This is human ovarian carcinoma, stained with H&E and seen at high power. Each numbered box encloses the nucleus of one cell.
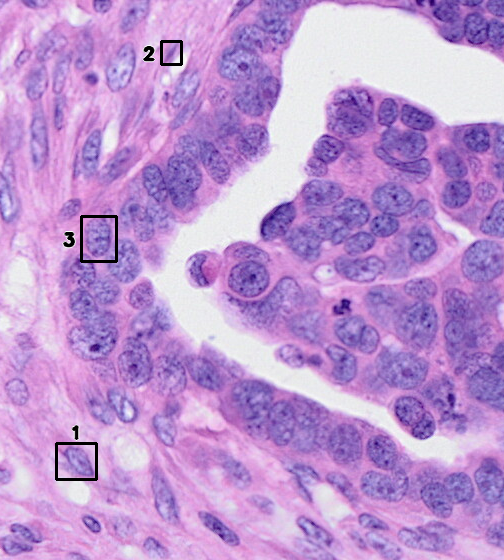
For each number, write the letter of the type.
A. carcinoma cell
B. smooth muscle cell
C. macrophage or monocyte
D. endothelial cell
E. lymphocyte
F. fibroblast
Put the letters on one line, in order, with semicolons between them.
F; F; A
